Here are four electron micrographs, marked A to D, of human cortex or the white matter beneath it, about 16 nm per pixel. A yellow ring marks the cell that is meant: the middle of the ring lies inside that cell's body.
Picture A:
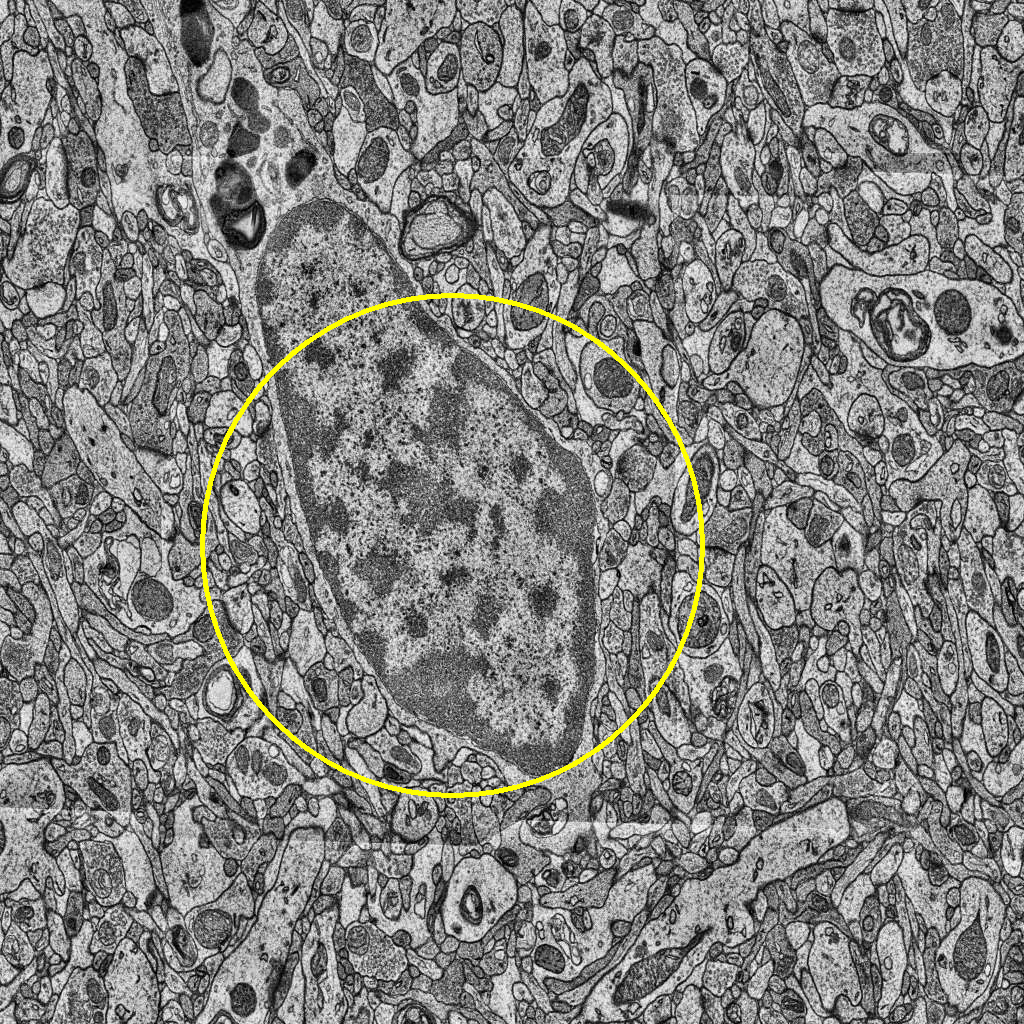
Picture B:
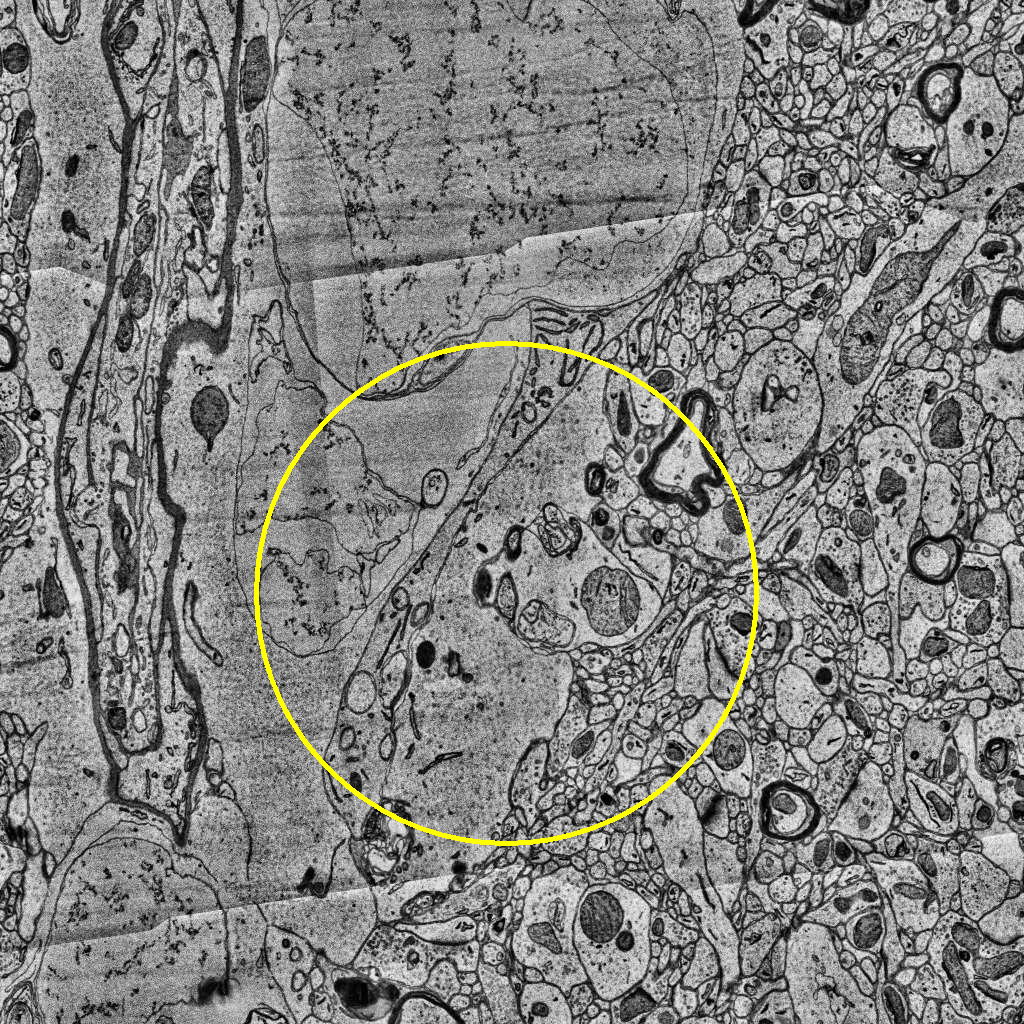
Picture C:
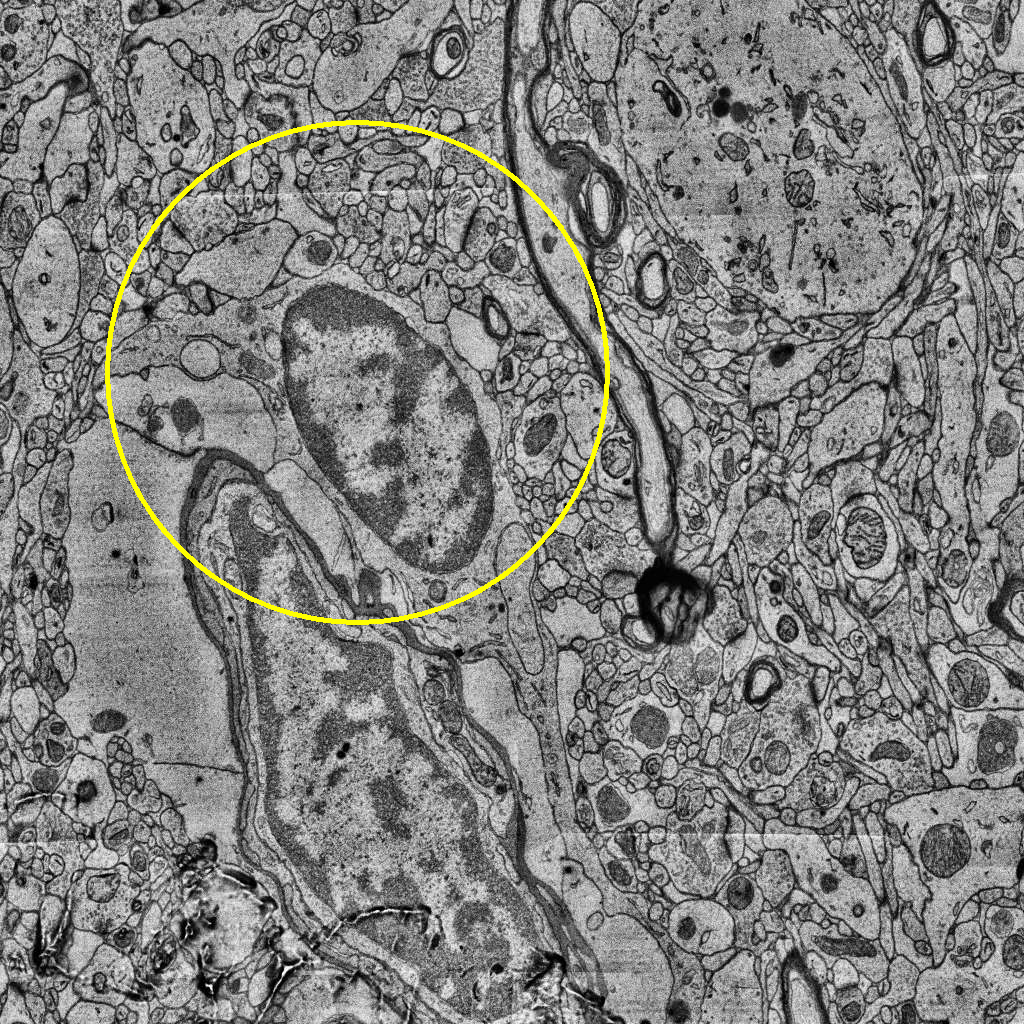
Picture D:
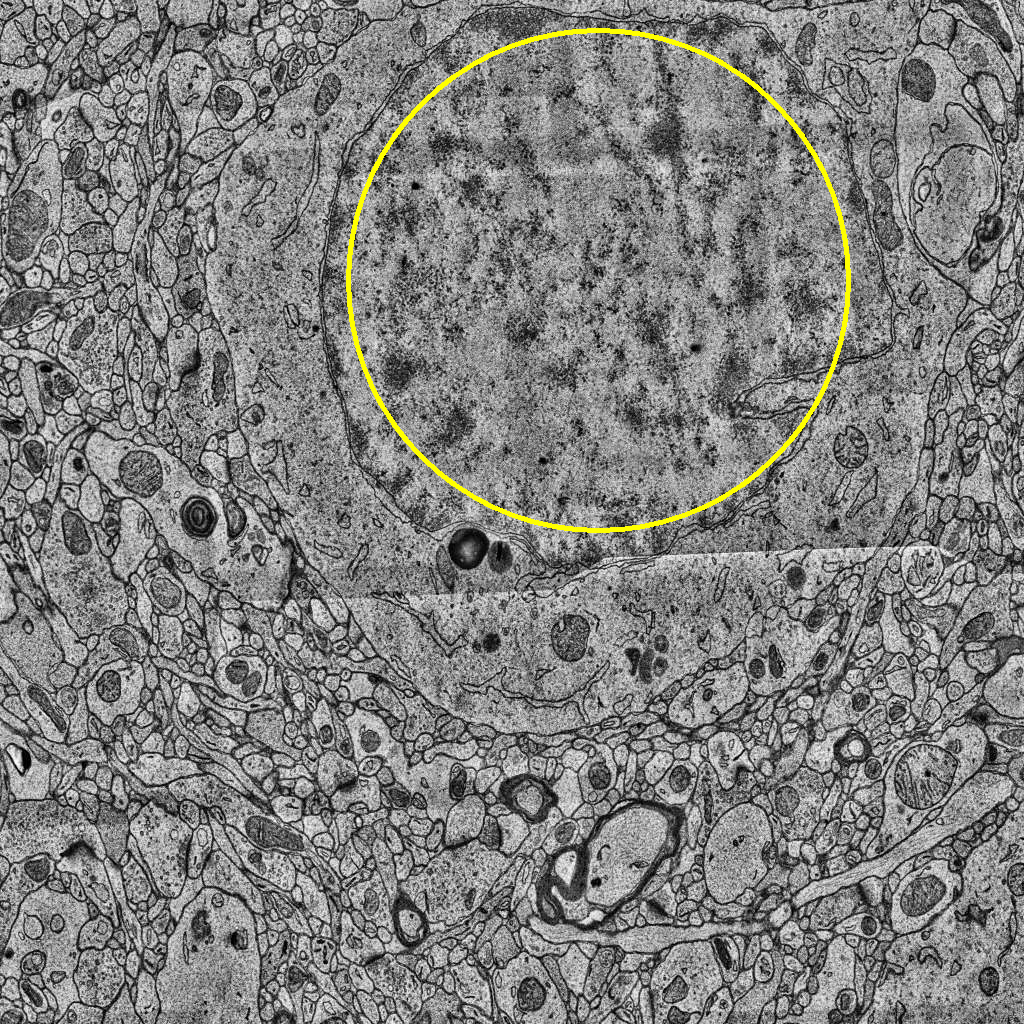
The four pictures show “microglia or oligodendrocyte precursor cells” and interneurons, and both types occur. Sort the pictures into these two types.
Pictures A, B and C show “microglia or oligodendrocyte precursor cells”, while picture D shows an interneuron.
